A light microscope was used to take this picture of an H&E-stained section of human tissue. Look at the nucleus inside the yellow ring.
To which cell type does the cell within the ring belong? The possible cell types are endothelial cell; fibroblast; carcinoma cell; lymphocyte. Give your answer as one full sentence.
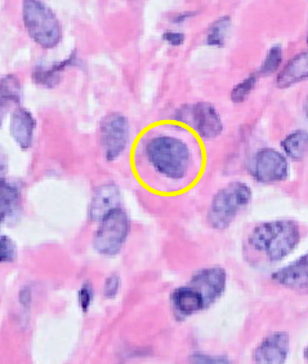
The category to which the cell within the ring belongs is that of a carcinoma cell.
